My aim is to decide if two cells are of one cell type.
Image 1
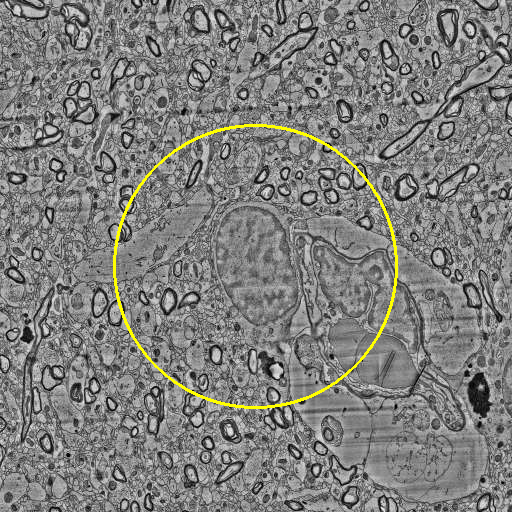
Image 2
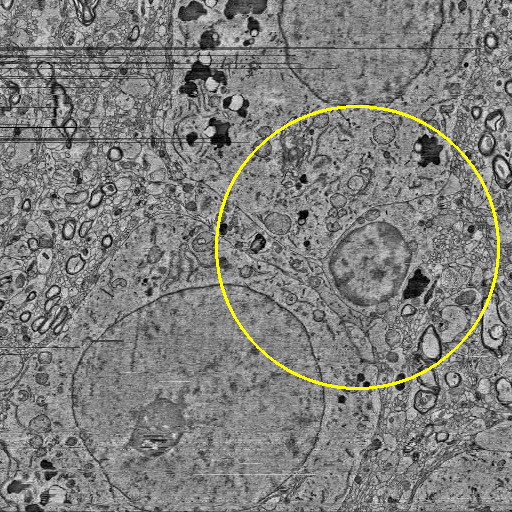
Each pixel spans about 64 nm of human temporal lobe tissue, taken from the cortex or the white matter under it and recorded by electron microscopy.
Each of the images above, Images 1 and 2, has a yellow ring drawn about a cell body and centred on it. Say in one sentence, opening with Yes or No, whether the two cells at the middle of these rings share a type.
Yes, in Images 1 and 2 the cells at the middle of the rings share one type.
